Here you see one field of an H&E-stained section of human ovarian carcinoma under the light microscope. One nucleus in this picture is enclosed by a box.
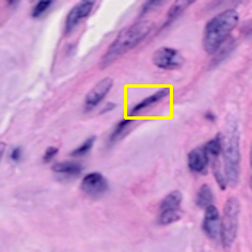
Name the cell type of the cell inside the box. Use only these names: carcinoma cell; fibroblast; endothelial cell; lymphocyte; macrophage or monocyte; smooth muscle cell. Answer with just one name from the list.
smooth muscle cell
